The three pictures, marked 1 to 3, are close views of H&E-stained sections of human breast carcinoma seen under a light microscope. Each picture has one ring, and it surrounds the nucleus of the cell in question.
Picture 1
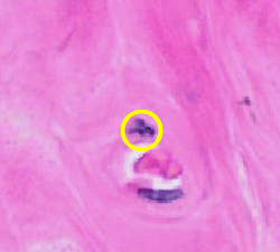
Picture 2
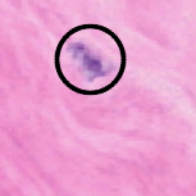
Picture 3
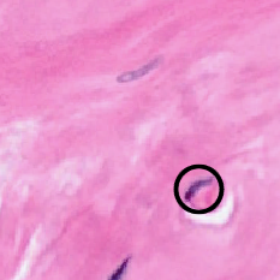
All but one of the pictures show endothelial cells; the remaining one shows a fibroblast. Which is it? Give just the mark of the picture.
2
